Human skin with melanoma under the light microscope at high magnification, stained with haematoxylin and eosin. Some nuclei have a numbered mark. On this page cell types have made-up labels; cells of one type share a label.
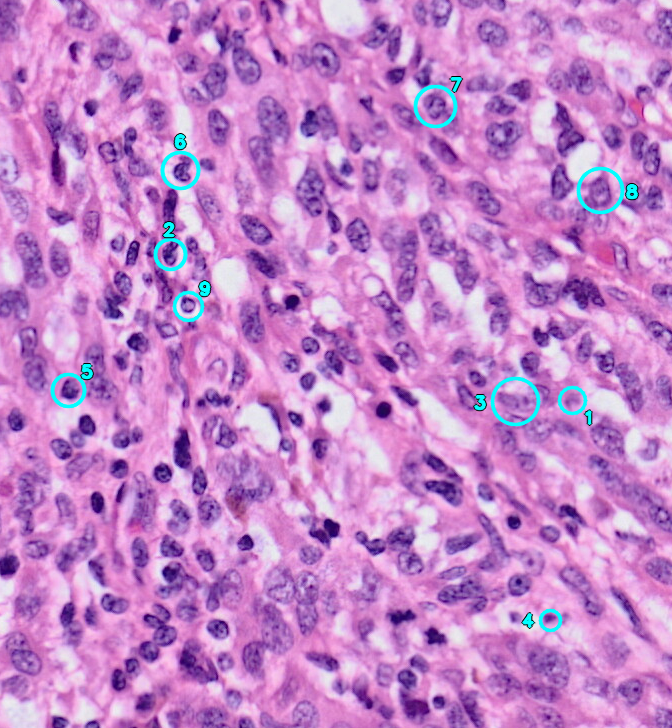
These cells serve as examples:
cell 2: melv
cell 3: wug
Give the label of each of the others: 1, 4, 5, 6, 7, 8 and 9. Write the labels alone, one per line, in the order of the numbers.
wug
melv
melv
melv
wug
wug
melv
